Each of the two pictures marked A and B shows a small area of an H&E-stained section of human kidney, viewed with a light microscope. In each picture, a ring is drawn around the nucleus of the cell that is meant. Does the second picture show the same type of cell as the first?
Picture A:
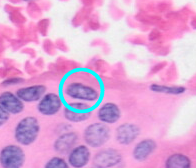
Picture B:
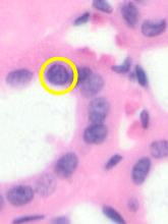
yes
